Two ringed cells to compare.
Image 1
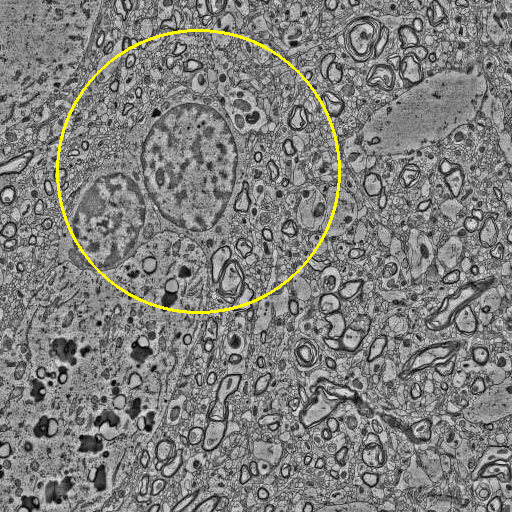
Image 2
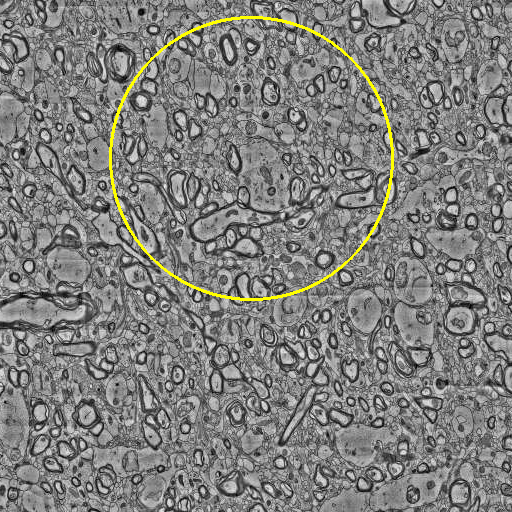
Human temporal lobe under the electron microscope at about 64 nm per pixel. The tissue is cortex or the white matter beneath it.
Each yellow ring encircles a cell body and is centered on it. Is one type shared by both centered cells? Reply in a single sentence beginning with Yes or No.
No, two types are found among the cells at the centers of the rings.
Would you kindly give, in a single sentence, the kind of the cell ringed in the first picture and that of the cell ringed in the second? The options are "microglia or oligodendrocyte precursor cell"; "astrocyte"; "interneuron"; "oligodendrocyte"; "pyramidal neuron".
The second cell is a microglial cell or oligodendrocyte precursor cell, and the first cell is an oligodendrocyte.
